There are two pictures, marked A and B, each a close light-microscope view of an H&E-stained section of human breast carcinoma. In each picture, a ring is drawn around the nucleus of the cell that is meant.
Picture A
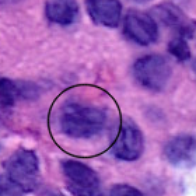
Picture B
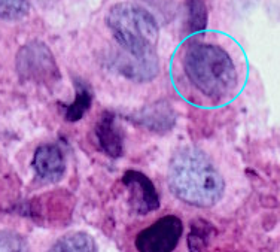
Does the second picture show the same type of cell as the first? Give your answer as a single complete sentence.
Yes; the cells in both pictures are carcinoma cells.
